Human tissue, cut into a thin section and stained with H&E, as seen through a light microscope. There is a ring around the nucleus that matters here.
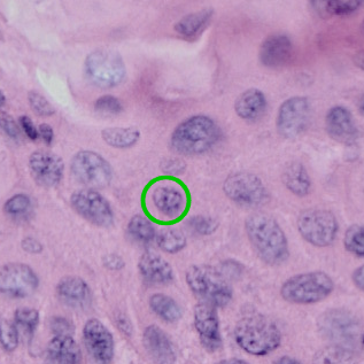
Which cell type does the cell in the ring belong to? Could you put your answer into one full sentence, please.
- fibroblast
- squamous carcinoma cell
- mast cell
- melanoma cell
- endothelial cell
So far as cell type goes, the cell in the ring is a squamous carcinoma cell.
